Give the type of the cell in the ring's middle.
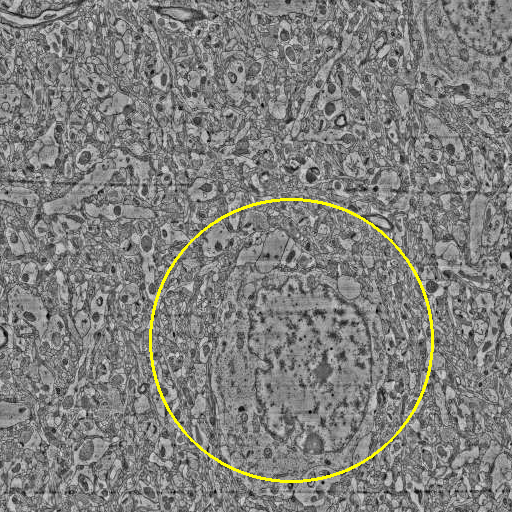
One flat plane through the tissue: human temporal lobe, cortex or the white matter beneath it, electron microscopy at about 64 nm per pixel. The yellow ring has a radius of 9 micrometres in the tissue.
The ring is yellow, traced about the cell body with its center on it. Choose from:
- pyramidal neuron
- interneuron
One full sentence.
Here, an interneuron is the cell lying at the center of the yellow ring.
